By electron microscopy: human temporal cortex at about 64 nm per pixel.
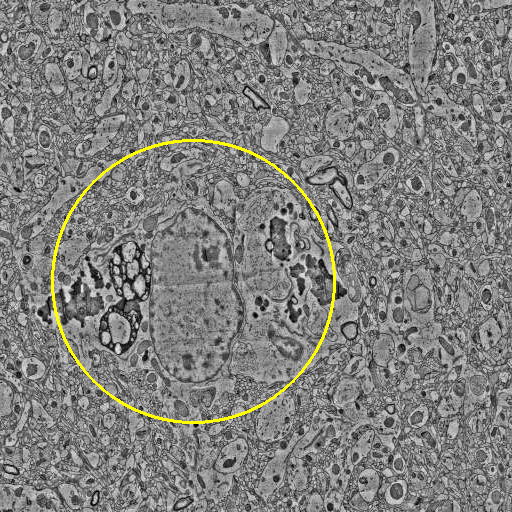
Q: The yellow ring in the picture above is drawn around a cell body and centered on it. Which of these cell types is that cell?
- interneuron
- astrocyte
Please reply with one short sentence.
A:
The cell body at the ring's center belongs to an astrocyte.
